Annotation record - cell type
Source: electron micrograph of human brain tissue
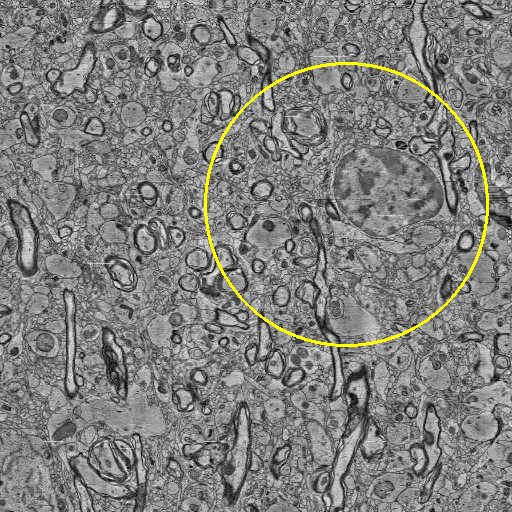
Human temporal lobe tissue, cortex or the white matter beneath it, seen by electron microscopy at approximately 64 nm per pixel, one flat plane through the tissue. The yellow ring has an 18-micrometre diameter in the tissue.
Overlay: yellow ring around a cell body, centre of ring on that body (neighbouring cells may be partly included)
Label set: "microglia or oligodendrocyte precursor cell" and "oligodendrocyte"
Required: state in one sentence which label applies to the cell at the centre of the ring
This cell should be labelled as a microglial cell or oligodendrocyte precursor cell.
